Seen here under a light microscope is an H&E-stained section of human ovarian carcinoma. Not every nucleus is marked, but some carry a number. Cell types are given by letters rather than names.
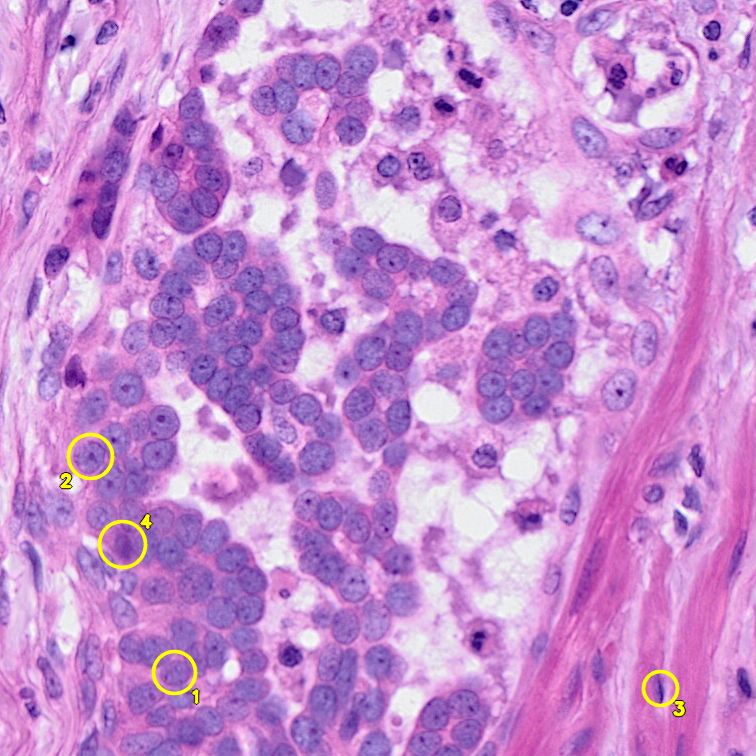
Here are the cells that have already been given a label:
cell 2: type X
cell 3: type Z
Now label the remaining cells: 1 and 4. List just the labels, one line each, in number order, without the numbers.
type X
type X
